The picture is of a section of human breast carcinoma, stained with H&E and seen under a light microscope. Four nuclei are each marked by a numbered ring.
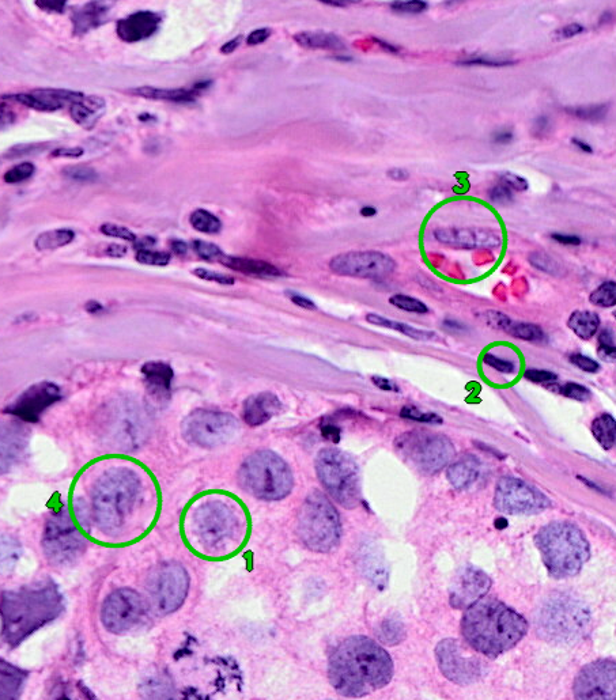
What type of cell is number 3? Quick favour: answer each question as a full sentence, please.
It is as an endothelial cell that the cell numbered 3 is identified.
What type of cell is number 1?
The numbered cell 1 is identified here as a carcinoma cell.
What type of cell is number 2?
The marked cell with the number 2 is recognised as a lymphocyte.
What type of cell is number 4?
The cell to which the number 4 is assigned is a carcinoma cell.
